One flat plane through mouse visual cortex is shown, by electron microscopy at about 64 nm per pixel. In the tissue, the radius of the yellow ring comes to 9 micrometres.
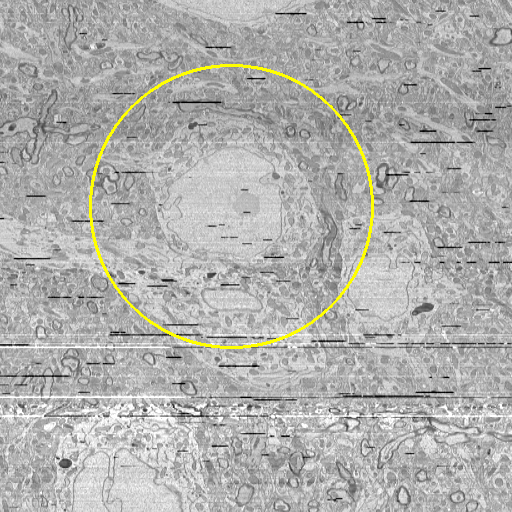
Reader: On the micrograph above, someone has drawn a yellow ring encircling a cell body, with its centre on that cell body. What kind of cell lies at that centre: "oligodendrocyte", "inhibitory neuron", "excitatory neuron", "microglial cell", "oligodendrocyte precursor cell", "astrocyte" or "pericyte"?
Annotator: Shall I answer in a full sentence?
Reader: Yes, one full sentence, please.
Here an inhibitory neuron sits at the centre of the yellow ring drawn on the micrograph.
